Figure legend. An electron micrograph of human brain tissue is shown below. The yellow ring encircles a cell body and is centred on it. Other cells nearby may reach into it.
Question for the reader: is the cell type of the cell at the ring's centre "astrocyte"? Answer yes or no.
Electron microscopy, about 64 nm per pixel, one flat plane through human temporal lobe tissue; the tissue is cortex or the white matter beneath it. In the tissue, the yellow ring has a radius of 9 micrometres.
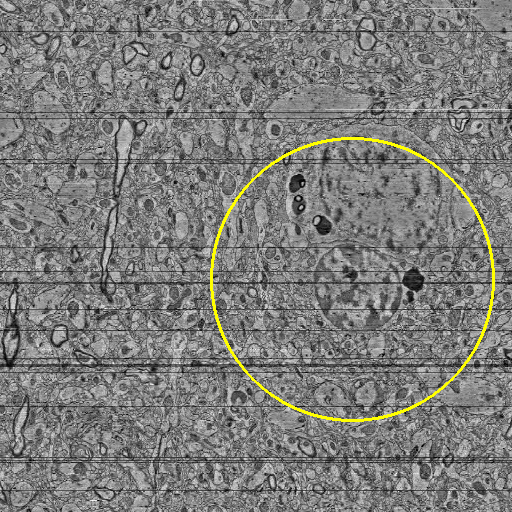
no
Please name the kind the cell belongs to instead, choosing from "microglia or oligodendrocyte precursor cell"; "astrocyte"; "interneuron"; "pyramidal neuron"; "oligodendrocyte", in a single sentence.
The cell circled by the yellow ring is an oligodendrocyte.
